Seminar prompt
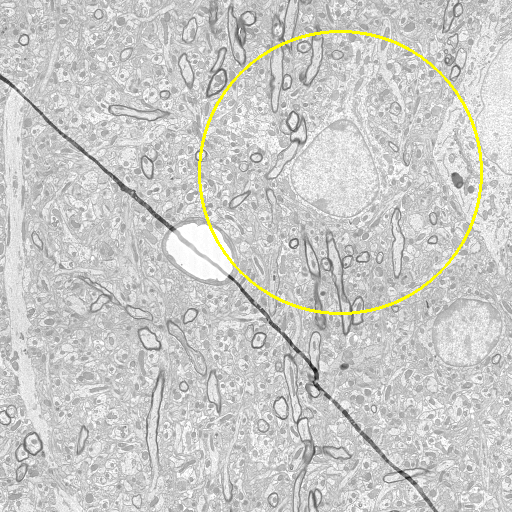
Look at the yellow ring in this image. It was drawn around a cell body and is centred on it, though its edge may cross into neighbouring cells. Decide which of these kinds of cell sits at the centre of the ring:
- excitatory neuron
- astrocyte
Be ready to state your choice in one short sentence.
The kind of cell at the ring's centre is an astrocyte.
